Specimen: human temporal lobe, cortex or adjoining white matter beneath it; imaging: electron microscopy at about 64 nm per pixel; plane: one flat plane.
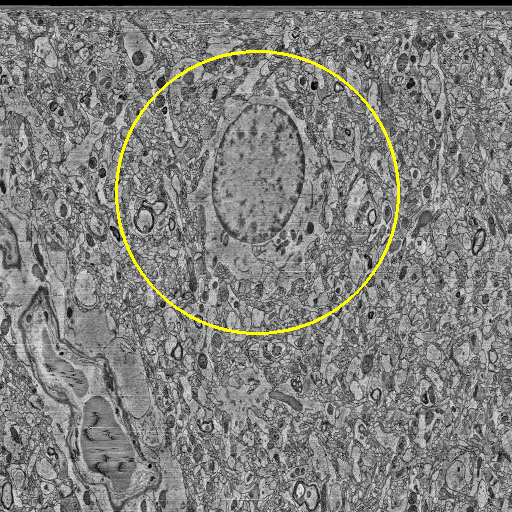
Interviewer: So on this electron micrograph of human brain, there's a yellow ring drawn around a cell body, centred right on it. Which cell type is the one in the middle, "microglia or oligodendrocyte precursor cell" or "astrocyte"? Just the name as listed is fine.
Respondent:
astrocyte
